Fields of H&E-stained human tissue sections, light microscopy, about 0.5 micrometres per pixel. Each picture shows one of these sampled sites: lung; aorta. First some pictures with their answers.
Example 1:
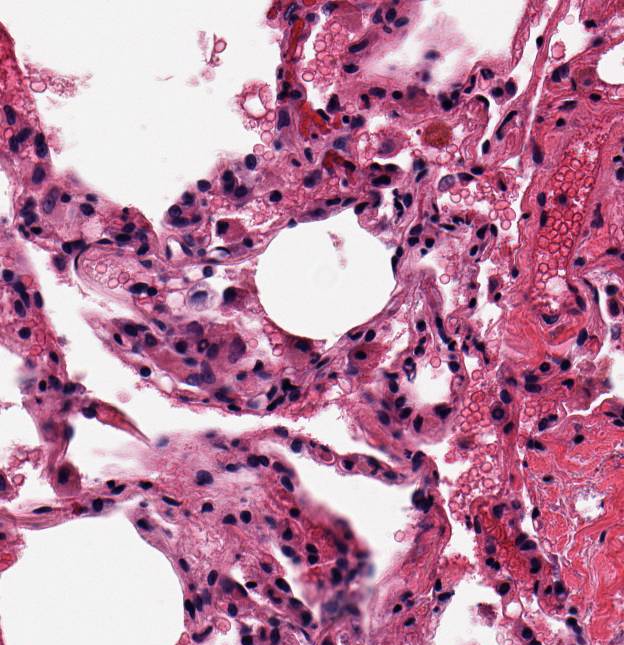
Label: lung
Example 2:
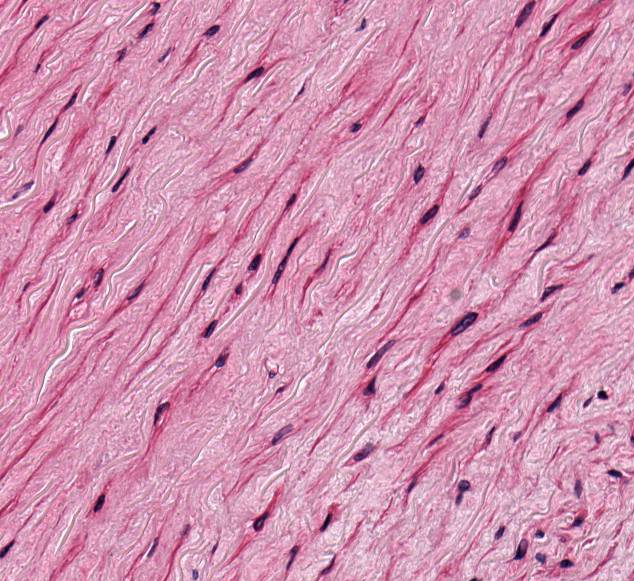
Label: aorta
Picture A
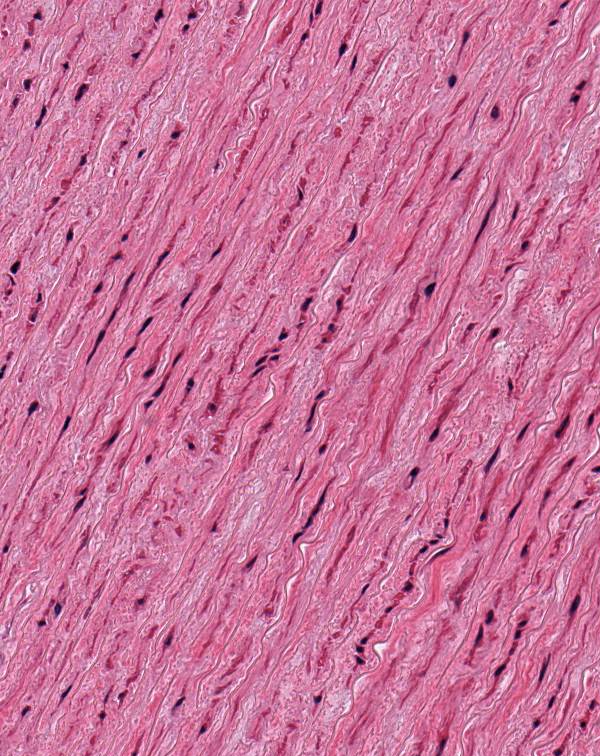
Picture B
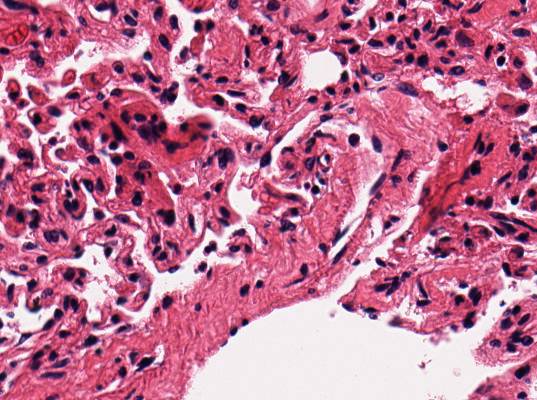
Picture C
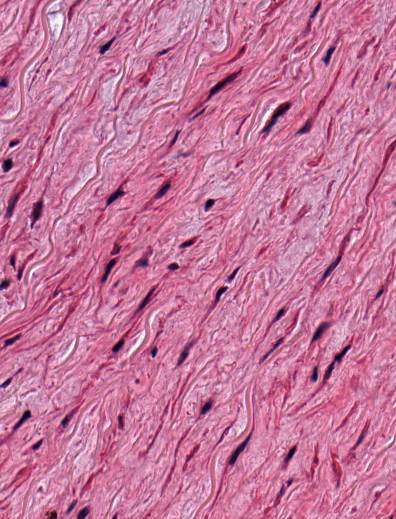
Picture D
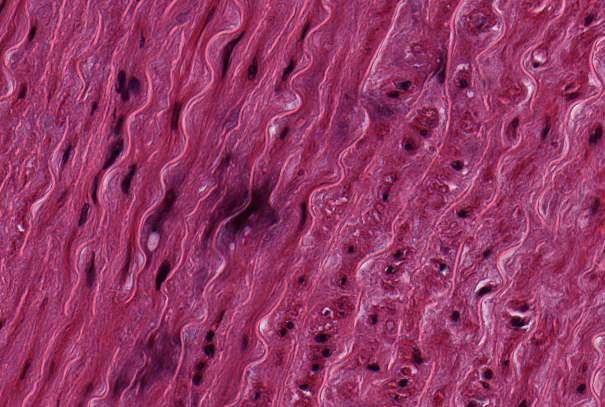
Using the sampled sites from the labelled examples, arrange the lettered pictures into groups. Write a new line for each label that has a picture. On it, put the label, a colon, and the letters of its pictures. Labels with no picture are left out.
lung: B
aorta: A, C, D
